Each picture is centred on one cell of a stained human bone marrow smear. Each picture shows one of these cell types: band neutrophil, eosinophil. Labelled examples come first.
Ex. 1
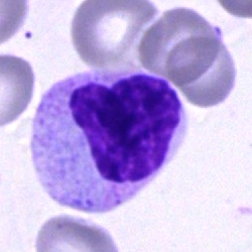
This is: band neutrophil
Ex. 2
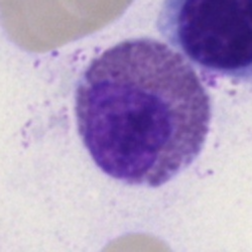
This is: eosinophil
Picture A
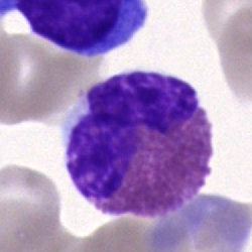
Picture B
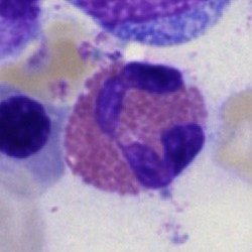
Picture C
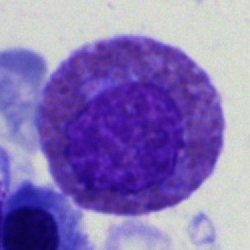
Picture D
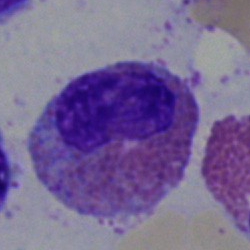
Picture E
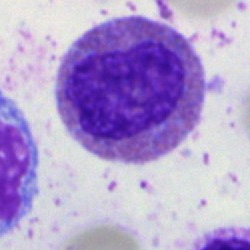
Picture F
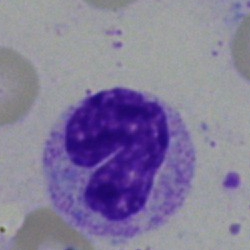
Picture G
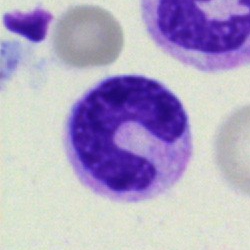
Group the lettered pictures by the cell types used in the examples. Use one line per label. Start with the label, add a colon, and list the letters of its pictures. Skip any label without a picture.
band neutrophil: F, G
eosinophil: A, B, C, D, E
